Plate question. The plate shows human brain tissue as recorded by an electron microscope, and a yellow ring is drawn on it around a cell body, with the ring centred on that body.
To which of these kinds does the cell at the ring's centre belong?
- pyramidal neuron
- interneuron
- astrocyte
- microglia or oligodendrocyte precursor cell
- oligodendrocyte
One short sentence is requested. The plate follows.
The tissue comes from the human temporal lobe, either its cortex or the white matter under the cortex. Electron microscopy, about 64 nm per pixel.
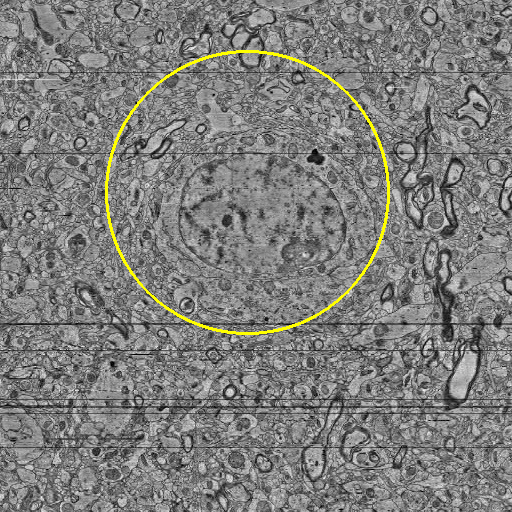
The cell at the ring's centre is an interneuron.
